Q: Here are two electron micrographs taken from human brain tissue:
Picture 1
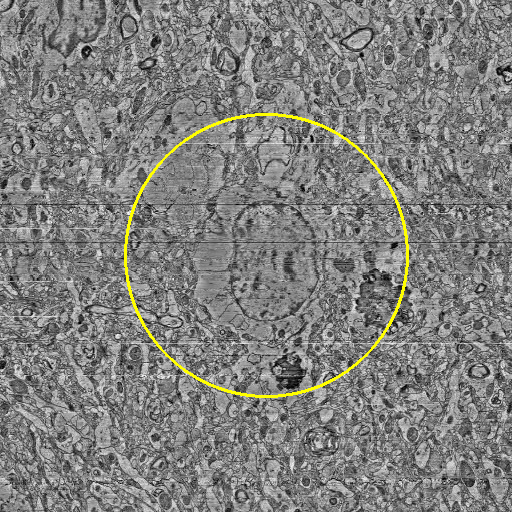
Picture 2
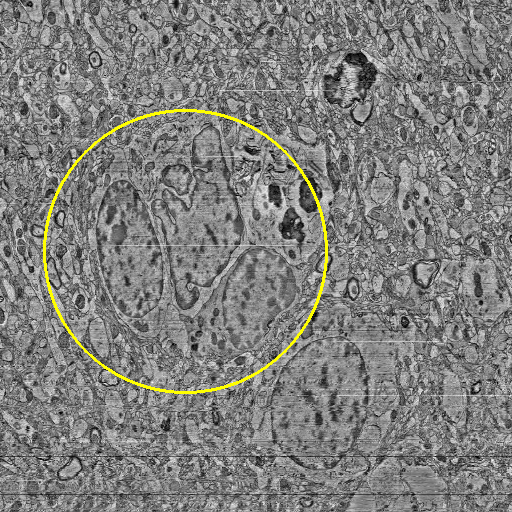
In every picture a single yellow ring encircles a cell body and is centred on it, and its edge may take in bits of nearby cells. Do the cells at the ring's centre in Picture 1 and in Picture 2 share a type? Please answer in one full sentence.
No, the cells at the ring's centre in Picture 1 and Picture 2 are of two types.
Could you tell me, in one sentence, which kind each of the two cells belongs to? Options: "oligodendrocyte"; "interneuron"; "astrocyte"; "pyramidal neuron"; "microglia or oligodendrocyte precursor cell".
At the centre of the first ring sits an astrocyte, and at the centre of the second sits a microglial cell or oligodendrocyte precursor cell.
